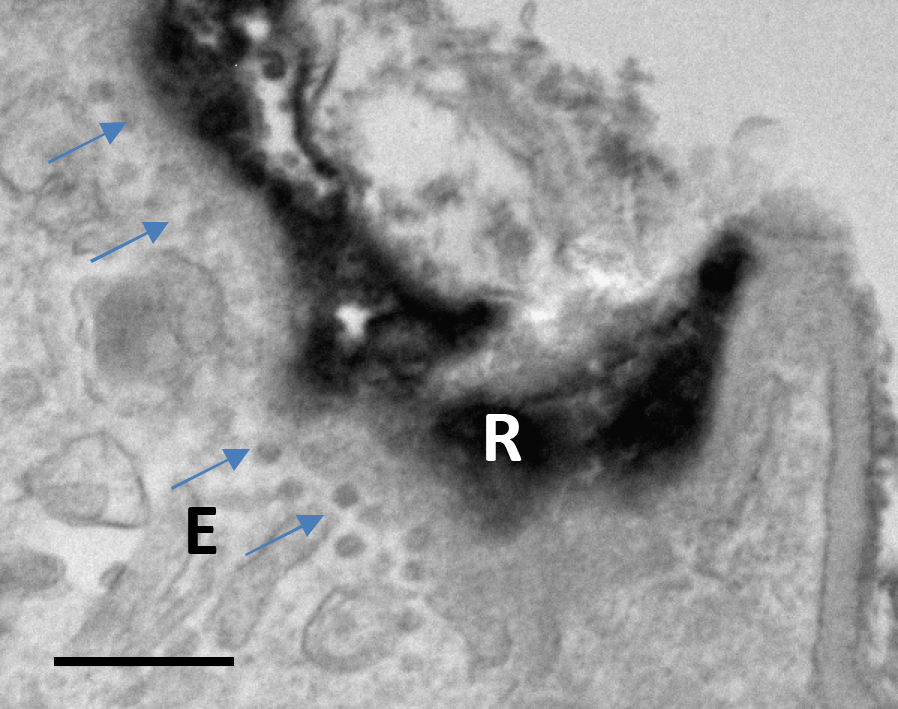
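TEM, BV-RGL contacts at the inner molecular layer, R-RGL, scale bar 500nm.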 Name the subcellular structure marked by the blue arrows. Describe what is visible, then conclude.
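Small round membrane-bound profiles lie in the cytoplasm of the cell labelled E. The arrowed profiles sit near the border facing the dark process labelled R. The profiles are of similar small size and roughly circular. On this evidence: endothelial vesicles.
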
